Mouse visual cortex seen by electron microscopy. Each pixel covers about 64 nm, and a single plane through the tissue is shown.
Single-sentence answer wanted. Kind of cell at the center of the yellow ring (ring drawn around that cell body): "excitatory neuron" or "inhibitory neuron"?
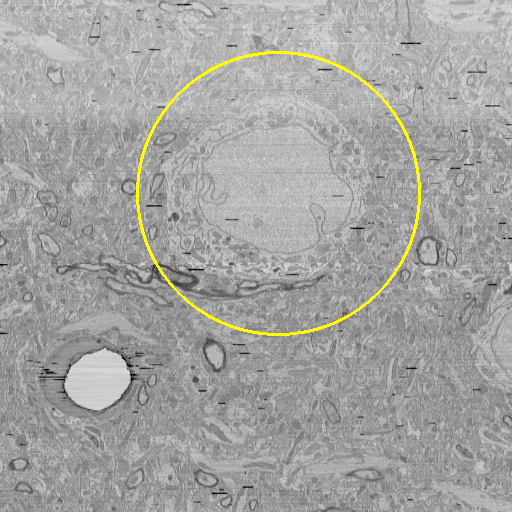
The cell centered in the ring is an inhibitory neuron.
